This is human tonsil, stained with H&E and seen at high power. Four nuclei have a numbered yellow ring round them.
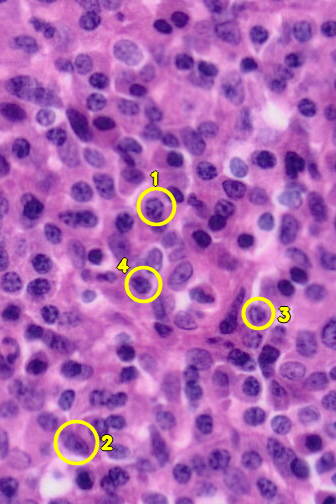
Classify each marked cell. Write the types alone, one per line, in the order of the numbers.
plasma cell
squamous epithelial cell
plasma cell
plasma cell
